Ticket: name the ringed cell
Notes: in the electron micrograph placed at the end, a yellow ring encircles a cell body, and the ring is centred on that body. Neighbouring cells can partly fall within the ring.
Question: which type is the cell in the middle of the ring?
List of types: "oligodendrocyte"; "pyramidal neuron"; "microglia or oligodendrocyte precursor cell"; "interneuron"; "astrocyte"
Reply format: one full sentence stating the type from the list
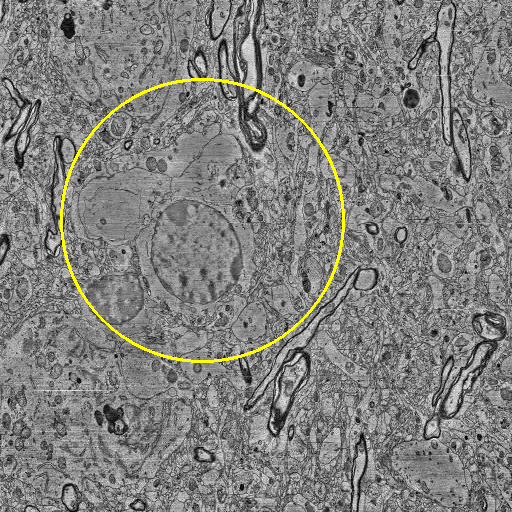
The cell sitting at the centre of the yellow ring is a microglial cell or oligodendrocyte precursor cell.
